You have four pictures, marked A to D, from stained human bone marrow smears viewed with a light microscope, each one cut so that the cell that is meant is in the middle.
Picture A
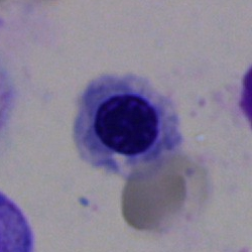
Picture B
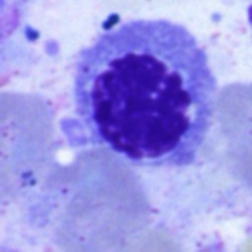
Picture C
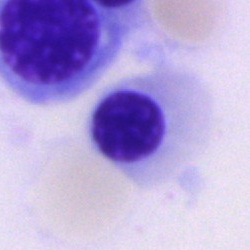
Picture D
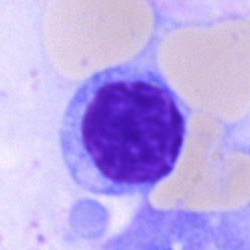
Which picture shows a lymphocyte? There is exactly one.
D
